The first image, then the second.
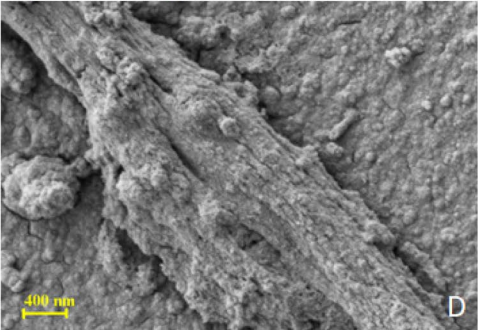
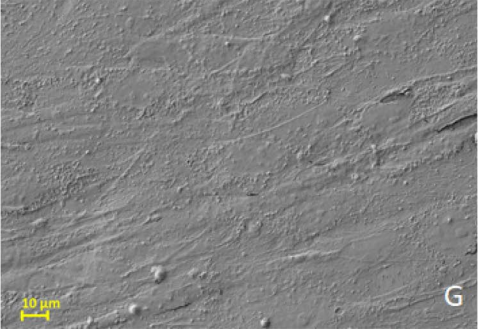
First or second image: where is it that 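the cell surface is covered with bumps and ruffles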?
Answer: The first image.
